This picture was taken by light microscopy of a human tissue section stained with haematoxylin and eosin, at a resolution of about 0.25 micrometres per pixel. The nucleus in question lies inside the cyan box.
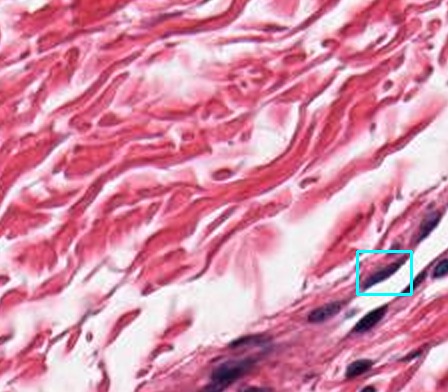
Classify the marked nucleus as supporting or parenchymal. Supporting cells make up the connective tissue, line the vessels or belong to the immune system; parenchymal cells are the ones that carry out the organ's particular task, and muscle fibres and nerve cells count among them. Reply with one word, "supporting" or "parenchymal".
supporting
